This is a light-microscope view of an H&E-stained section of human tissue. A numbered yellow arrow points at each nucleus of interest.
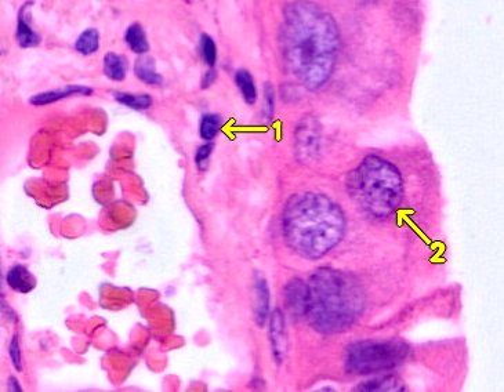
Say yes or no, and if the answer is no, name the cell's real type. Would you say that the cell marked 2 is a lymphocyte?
No, it is a carcinoma cell.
